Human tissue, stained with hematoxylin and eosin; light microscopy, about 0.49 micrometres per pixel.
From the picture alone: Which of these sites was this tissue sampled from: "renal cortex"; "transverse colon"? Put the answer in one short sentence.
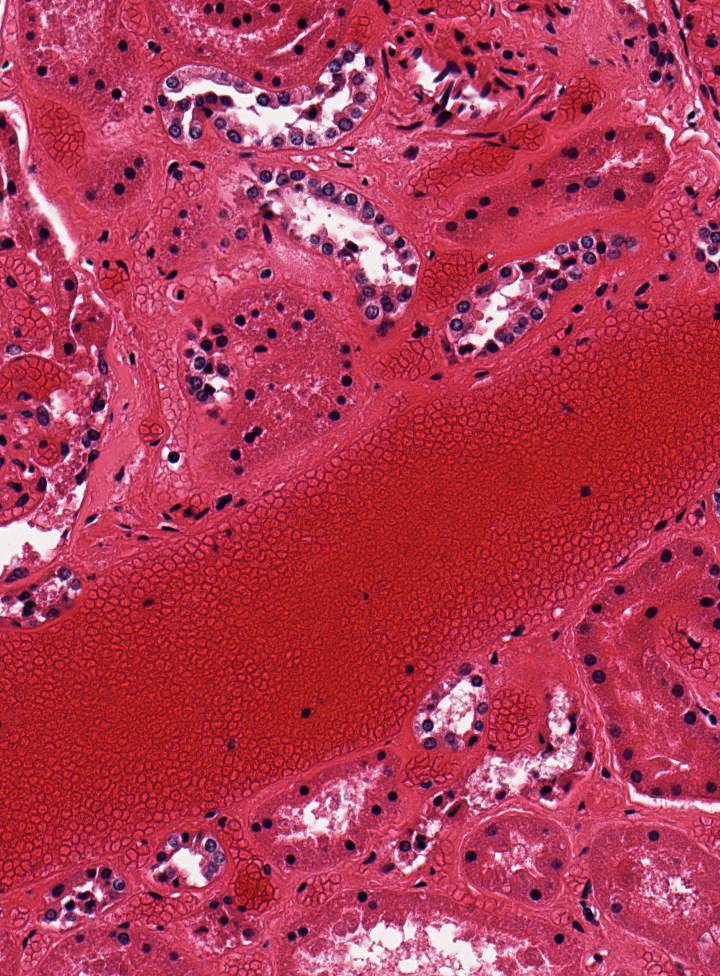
The site this tissue was sampled from is the renal cortex.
